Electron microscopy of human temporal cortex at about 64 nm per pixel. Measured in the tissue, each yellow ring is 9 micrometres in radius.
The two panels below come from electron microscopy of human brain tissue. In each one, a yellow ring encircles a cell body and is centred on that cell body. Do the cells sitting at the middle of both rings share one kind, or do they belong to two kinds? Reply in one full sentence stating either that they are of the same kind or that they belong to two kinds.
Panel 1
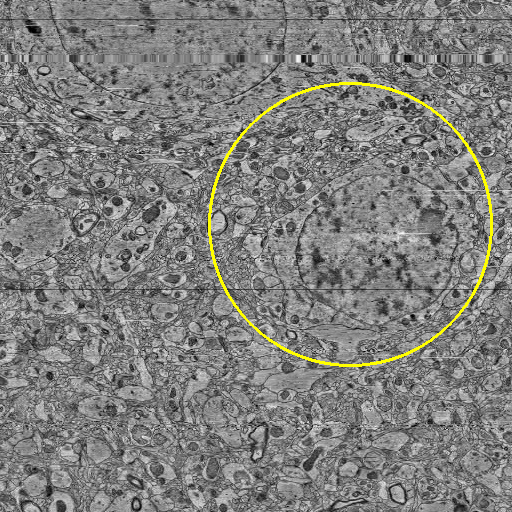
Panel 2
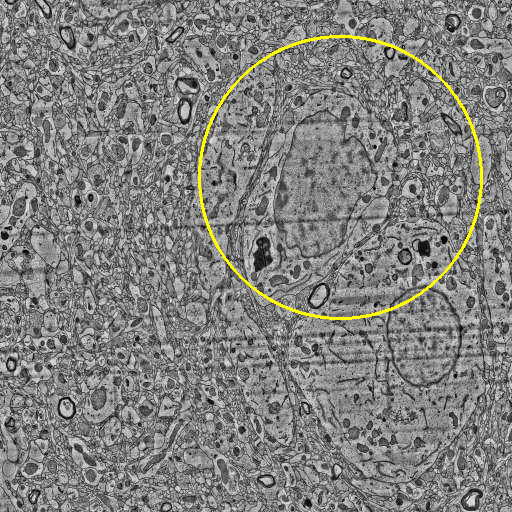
The cells at the centres of the two rings are of the same kind.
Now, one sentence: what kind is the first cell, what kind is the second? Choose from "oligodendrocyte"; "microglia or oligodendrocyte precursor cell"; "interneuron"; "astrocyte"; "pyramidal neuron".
Each of the two rings surrounds an interneuron.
